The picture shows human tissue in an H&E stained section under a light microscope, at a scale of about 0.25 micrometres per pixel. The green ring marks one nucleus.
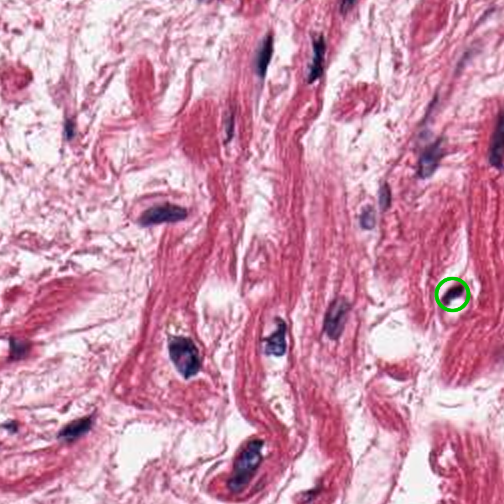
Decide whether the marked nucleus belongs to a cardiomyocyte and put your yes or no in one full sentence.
No, the marked nucleus is not borne by a cardiomyocyte; it is borne by a supporting cell.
